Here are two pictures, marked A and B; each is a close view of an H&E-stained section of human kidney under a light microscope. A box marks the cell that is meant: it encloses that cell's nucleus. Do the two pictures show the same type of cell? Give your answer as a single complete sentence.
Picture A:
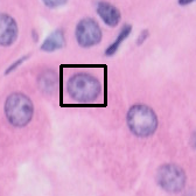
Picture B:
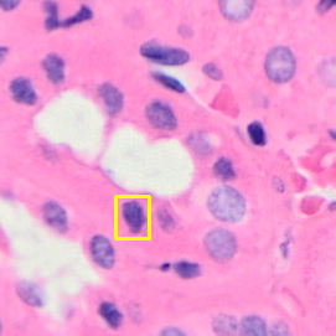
No, the types are not the same, since picture A shows a proximal tubule cell and picture B a “loop of Henle or distal tubule cell”.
